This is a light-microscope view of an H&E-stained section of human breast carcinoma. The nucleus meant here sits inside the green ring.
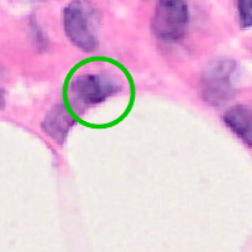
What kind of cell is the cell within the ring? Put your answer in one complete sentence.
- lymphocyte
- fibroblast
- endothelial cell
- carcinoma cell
The cell meant here is a carcinoma cell.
